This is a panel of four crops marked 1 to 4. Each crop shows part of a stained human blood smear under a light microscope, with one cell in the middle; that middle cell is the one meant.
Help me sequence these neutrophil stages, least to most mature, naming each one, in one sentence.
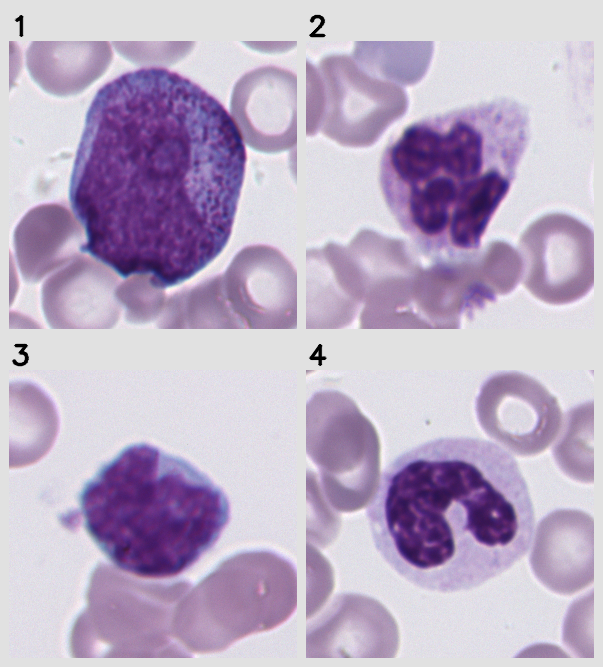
In rising order of maturity, the crops are crop 3 (a myeloblast), crop 1 (a promyelocyte), crop 4 (a band neutrophil) and crop 2 (a segmented neutrophil).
